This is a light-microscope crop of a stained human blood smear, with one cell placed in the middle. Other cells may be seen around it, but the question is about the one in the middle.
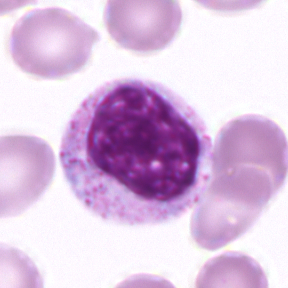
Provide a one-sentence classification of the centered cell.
The cell the crop is centered on is a metamyelocyte.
